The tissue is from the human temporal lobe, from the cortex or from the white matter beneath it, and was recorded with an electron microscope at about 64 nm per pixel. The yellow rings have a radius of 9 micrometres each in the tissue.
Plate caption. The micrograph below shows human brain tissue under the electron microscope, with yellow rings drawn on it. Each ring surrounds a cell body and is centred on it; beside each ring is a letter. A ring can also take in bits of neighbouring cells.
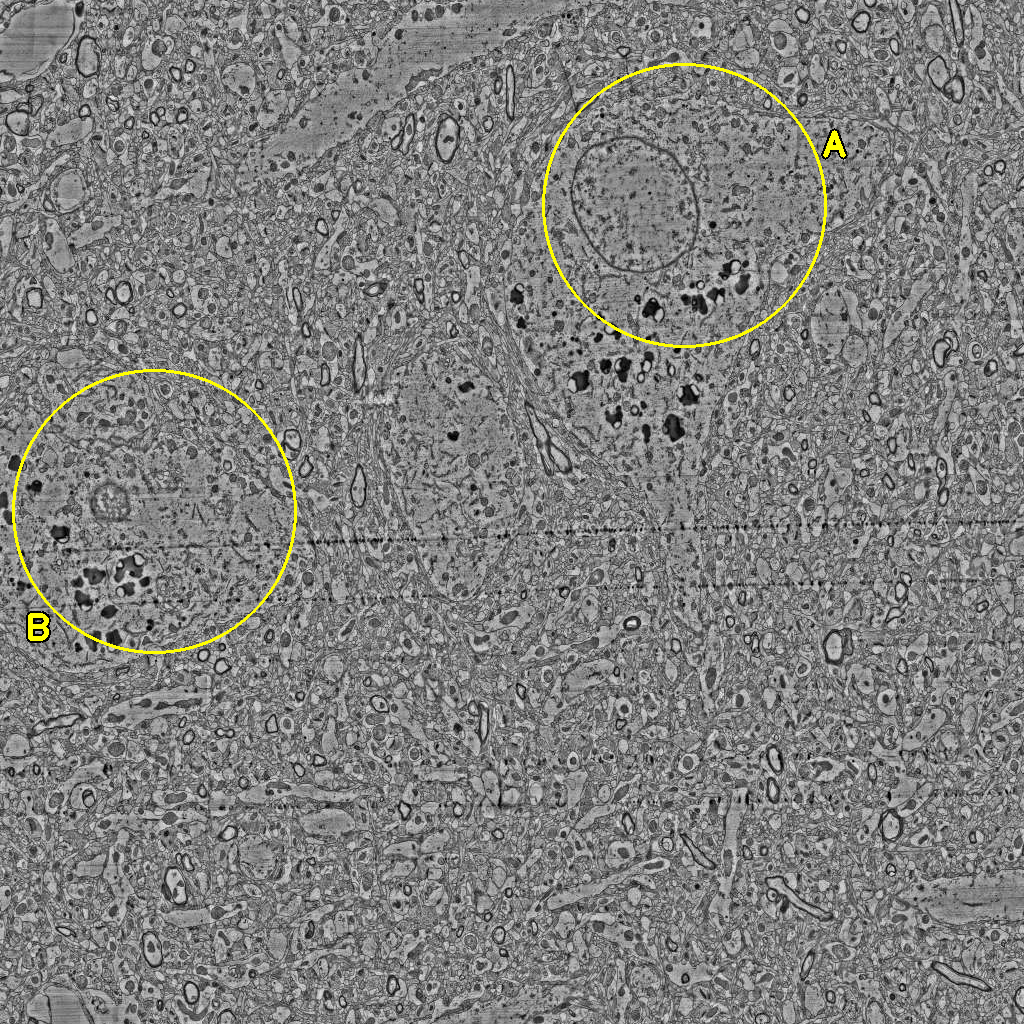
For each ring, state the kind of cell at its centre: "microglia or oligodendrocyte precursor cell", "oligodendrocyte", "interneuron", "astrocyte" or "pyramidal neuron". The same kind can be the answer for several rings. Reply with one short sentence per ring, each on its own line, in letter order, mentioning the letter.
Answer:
Ring A is drawn around a pyramidal neuron.
Ring B is drawn around a pyramidal neuron.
